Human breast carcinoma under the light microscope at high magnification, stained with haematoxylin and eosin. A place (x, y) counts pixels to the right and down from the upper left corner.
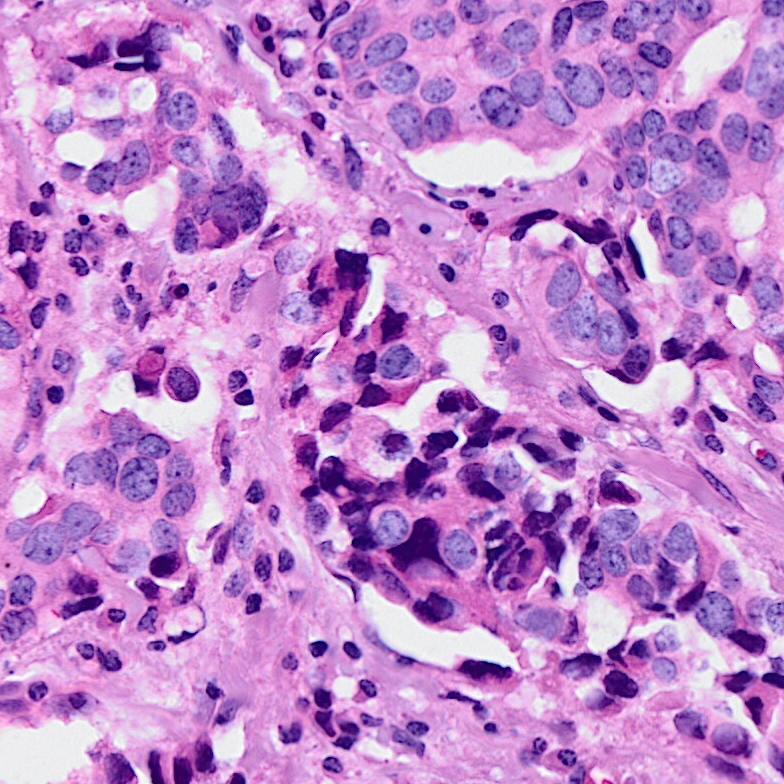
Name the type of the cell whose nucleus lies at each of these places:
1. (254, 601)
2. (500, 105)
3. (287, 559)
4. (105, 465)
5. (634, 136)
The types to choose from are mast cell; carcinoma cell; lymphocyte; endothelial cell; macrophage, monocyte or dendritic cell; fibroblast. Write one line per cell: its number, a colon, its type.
1: lymphocyte
2: carcinoma cell
3: lymphocyte
4: carcinoma cell
5: carcinoma cell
